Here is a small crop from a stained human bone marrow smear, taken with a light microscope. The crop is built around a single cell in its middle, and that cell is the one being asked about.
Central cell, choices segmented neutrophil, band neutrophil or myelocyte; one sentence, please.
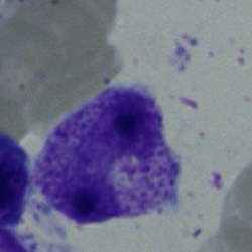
For this crop, the cell in the middle is a band neutrophil.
